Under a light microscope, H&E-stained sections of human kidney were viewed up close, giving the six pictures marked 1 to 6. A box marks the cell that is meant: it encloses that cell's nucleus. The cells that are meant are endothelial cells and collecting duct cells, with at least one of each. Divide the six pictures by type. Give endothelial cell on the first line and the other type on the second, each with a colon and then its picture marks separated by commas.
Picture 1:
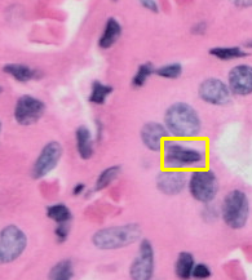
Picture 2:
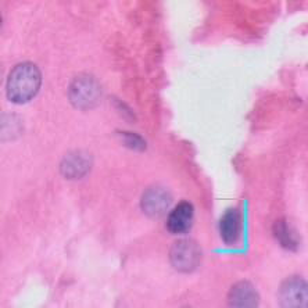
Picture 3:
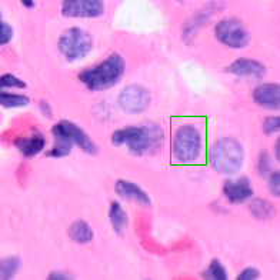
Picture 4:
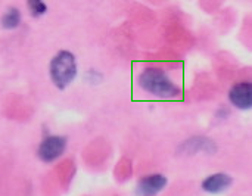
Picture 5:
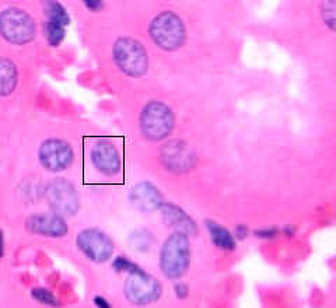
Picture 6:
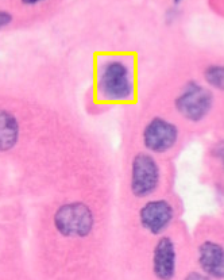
endothelial cell: 2, 4, 6
collecting duct cell: 1, 3, 5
